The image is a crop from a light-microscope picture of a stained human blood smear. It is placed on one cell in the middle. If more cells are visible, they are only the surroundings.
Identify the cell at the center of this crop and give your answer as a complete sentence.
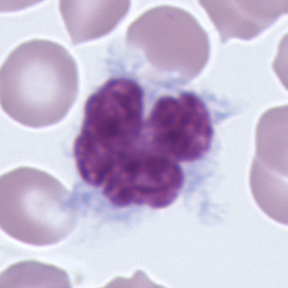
The identification for the central cell is a hairy cell.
